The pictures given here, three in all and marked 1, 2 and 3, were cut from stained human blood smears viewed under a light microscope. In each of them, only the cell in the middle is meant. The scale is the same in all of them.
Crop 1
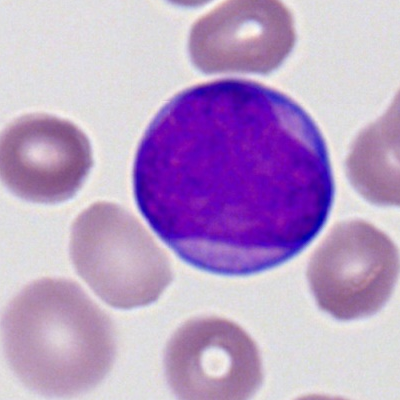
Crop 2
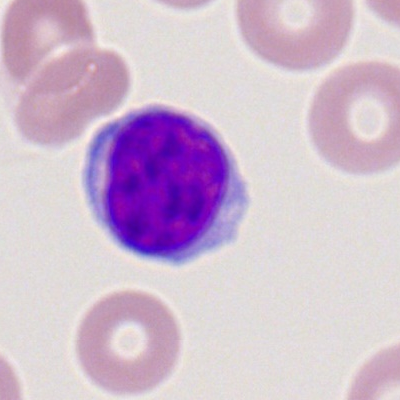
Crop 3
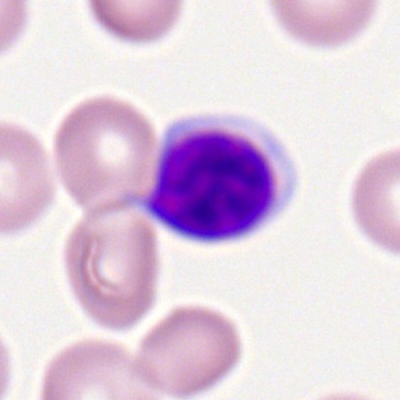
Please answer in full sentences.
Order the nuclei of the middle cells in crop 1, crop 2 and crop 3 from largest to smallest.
Going down, they run 1, 2, 3.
